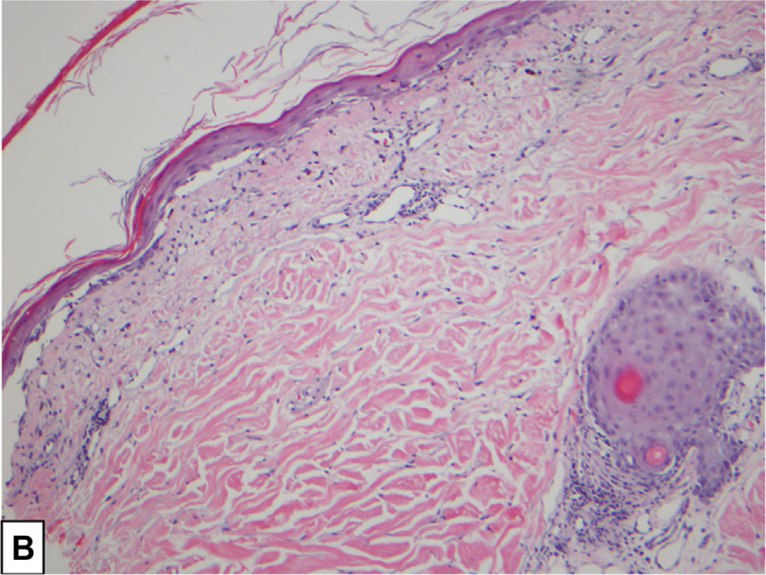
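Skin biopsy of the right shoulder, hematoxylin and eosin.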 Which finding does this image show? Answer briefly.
Epidermal atrophy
